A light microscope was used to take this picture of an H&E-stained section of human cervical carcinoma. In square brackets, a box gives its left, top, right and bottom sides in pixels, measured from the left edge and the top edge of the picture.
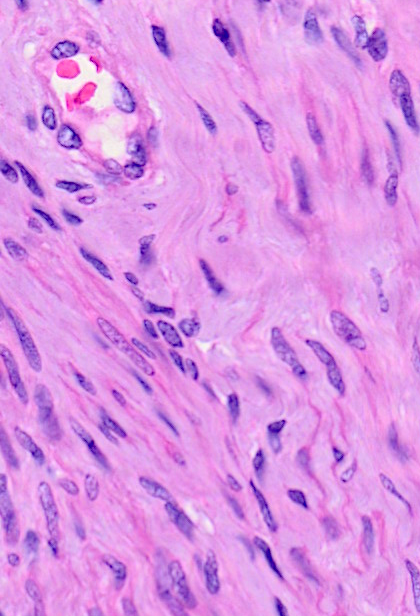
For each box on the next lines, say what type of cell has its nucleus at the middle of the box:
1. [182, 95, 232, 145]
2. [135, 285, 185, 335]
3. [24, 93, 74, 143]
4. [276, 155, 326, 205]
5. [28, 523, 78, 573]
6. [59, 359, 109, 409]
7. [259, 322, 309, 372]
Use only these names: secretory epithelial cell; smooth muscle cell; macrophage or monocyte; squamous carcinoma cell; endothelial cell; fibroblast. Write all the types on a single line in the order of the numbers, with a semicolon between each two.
fibroblast; fibroblast; endothelial cell; smooth muscle cell; smooth muscle cell; smooth muscle cell; smooth muscle cell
